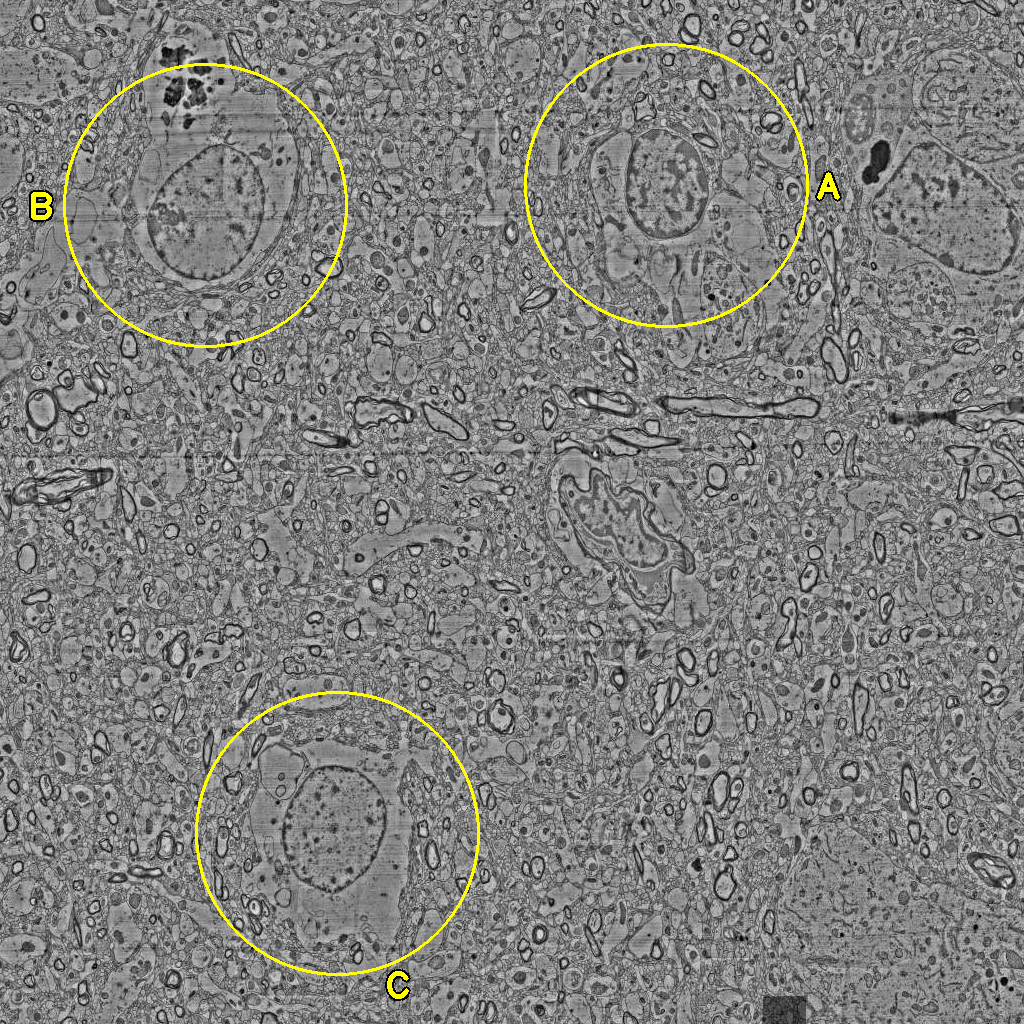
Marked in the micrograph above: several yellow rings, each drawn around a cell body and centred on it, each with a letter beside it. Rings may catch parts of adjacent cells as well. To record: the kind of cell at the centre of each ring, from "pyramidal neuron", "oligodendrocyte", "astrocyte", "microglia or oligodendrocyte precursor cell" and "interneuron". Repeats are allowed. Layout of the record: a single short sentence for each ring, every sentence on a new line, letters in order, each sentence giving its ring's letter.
At the centre of ring A lies a microglial cell or oligodendrocyte precursor cell.
At the centre of ring B lies an astrocyte.
At the centre of ring C lies an astrocyte.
